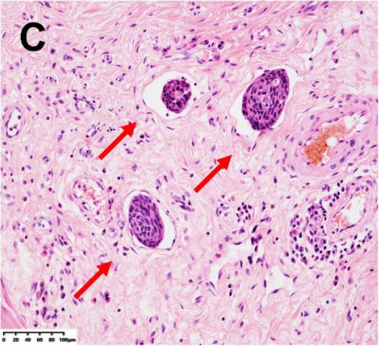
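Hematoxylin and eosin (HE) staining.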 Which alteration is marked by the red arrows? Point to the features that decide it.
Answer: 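Small round clusters of tumor cells float in thin-walled empty spaces. The spaces contain no red blood cells. A clear gap separates each cluster from the thin lining. So: Lymphatic vessel invasion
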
